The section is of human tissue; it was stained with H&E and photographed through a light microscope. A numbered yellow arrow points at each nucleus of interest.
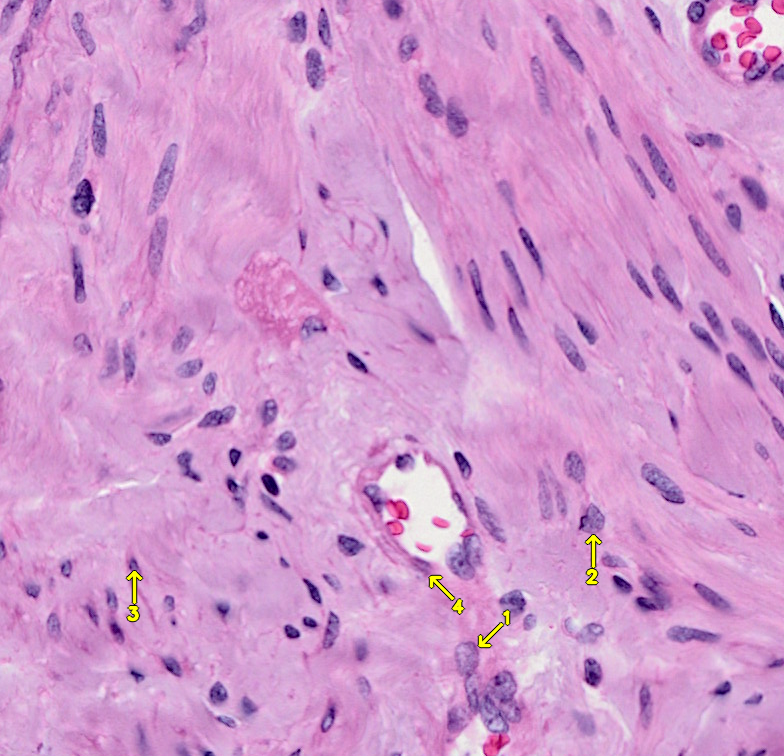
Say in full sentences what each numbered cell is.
Cells 1 and 4 are endothelial cells. Cell 2 is a fibroblast. Cell 3 is a smooth muscle cell.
